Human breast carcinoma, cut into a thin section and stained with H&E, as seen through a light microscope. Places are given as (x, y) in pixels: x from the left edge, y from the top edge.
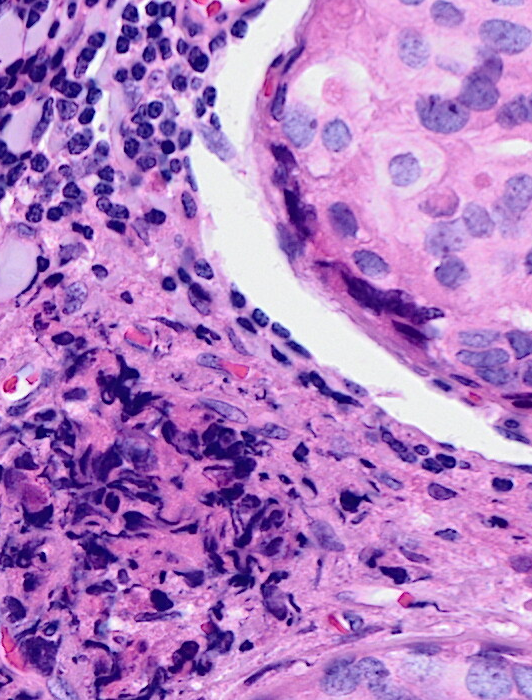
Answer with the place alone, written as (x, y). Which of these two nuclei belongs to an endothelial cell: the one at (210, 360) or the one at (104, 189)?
(210, 360)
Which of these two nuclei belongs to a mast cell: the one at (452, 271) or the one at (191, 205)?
(191, 205)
